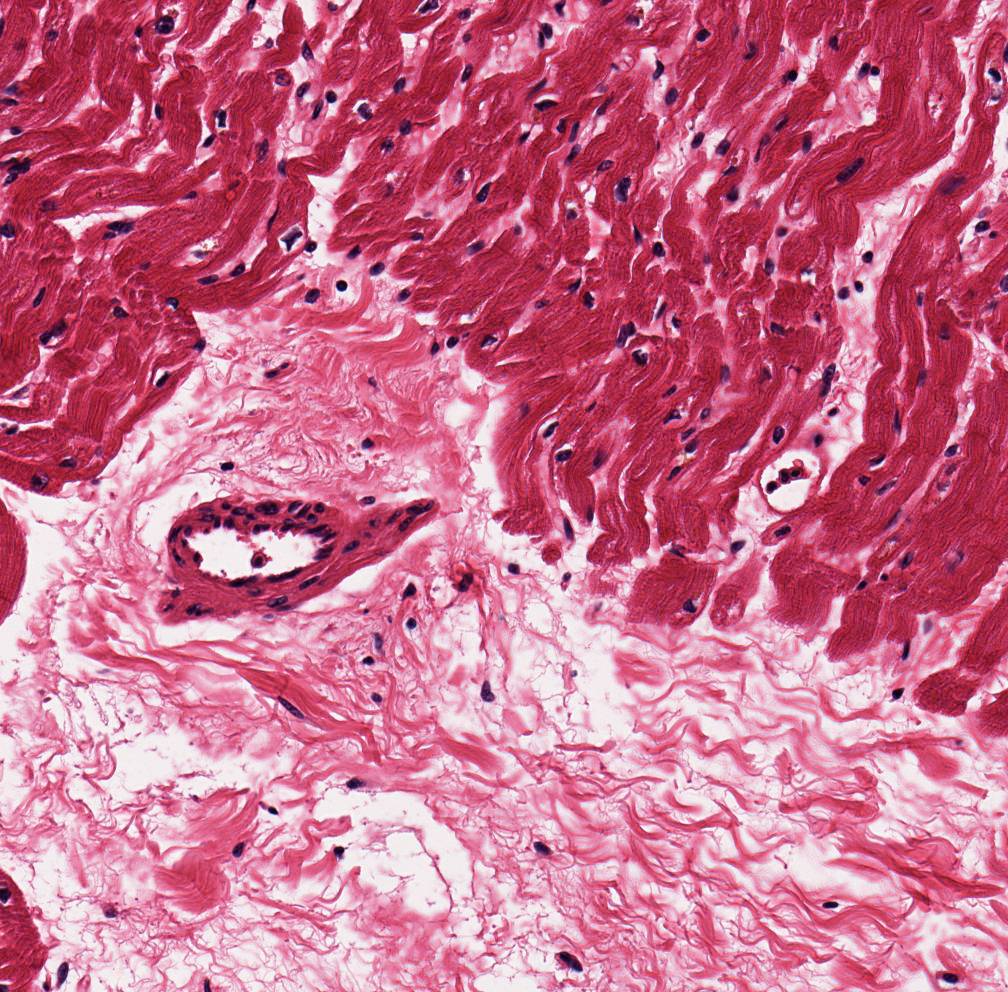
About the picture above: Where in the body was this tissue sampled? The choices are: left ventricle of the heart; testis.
left ventricle of the heart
